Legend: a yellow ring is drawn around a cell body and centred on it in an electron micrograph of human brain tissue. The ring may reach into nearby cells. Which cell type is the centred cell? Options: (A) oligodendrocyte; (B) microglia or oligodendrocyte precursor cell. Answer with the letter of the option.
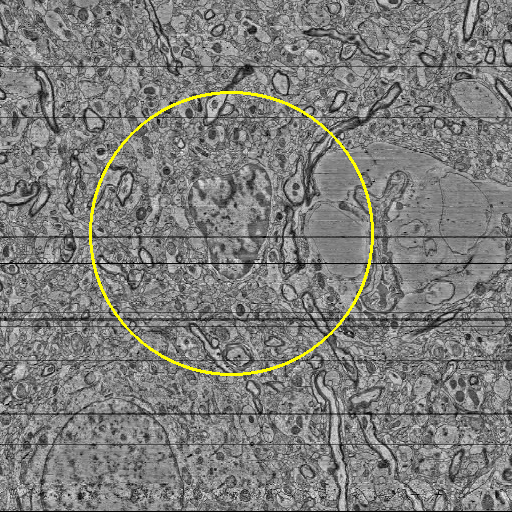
B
